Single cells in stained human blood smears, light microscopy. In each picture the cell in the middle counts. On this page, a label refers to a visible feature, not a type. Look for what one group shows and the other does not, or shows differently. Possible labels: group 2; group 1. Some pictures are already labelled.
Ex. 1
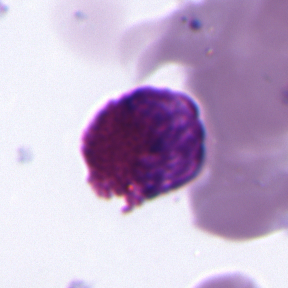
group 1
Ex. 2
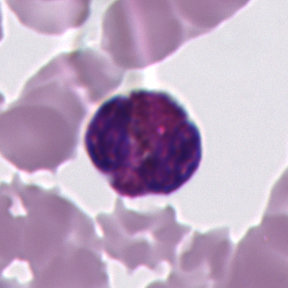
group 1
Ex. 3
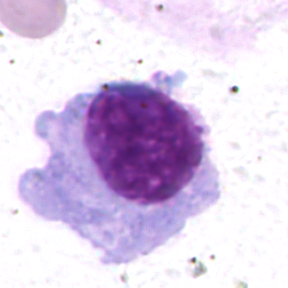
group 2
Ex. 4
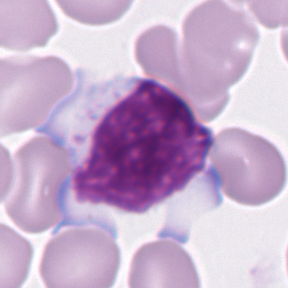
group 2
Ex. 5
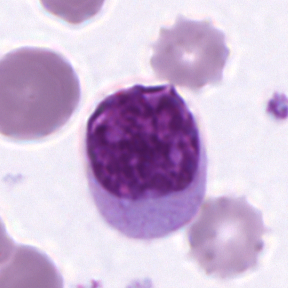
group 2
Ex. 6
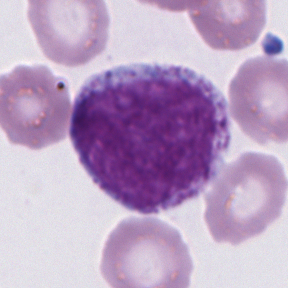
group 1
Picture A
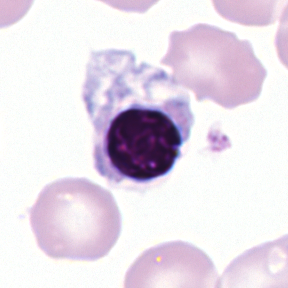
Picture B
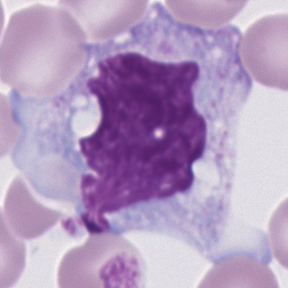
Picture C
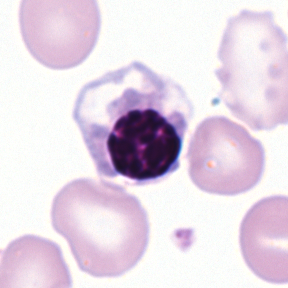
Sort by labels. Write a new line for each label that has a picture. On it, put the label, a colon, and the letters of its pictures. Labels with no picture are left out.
group 2: A, B, C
